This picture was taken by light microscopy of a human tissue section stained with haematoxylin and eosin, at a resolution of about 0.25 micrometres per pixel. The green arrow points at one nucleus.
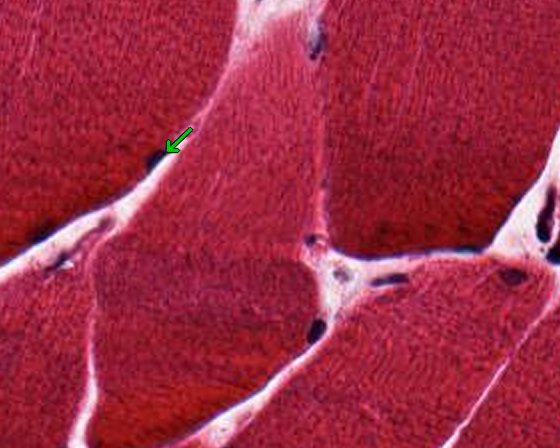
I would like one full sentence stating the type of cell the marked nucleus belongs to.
In this picture it is a skeletal muscle fibre whose nucleus is marked.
